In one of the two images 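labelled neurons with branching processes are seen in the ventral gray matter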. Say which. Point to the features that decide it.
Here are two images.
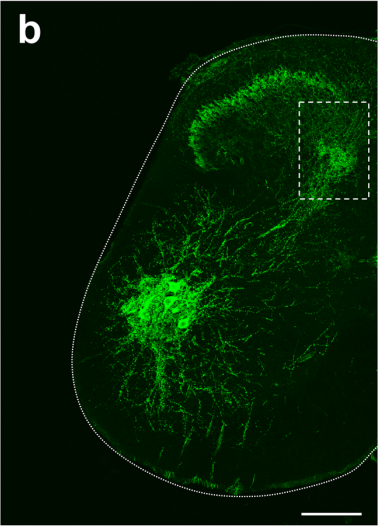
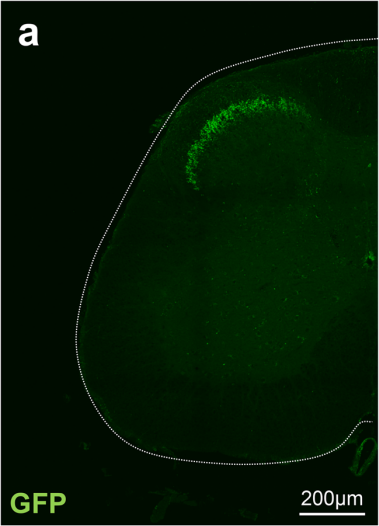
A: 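First image: a bright green cluster of cell bodies with radiating processes lies in the ventral region. Second image: the ventral region is dark, with only a green band in the dorsal region. The answer: the first image.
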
